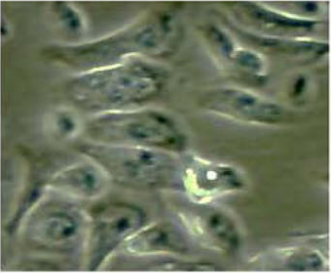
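The edges are smooth and rimmed by a thin bright halo. Neighbouring cells lie side by side or touch at their margins, with patches of empty dish between small groups. Few cells are drawn out into long processes, so the overall look is that of compact epithelial cells rather than stretched spindle-shaped ones.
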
